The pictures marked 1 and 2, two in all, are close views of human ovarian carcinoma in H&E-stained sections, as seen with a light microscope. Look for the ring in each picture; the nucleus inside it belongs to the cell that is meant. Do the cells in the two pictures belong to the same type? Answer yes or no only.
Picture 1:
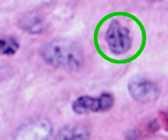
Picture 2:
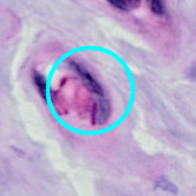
no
